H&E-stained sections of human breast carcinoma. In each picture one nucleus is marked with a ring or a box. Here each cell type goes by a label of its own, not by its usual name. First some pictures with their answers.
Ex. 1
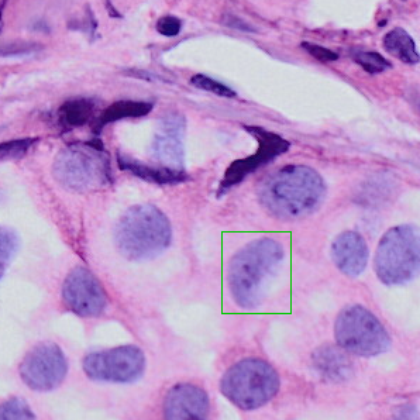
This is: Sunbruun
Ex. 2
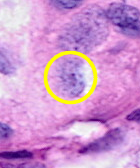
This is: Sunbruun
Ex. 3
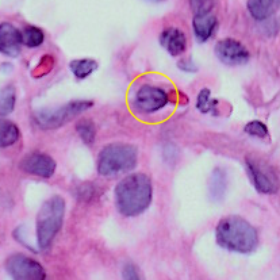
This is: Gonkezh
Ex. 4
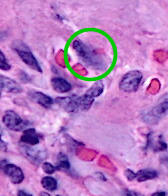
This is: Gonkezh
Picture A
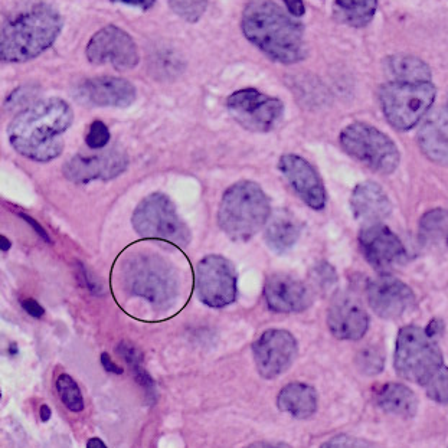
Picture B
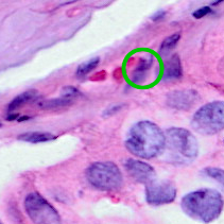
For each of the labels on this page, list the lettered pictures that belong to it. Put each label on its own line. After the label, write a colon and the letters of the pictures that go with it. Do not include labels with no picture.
Sunbruun: A
Gonkezh: B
